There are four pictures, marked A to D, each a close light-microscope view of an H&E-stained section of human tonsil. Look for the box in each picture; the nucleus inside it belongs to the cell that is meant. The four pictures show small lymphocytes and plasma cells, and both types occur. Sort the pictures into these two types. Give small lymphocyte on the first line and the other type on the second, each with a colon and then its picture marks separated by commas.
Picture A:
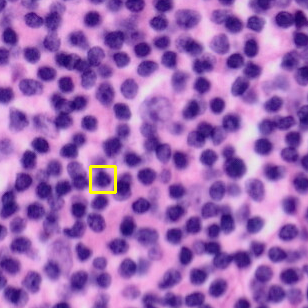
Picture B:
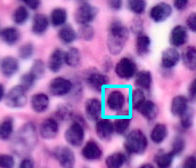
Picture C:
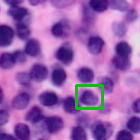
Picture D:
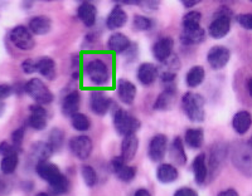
small lymphocyte: A, B, C
plasma cell: D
